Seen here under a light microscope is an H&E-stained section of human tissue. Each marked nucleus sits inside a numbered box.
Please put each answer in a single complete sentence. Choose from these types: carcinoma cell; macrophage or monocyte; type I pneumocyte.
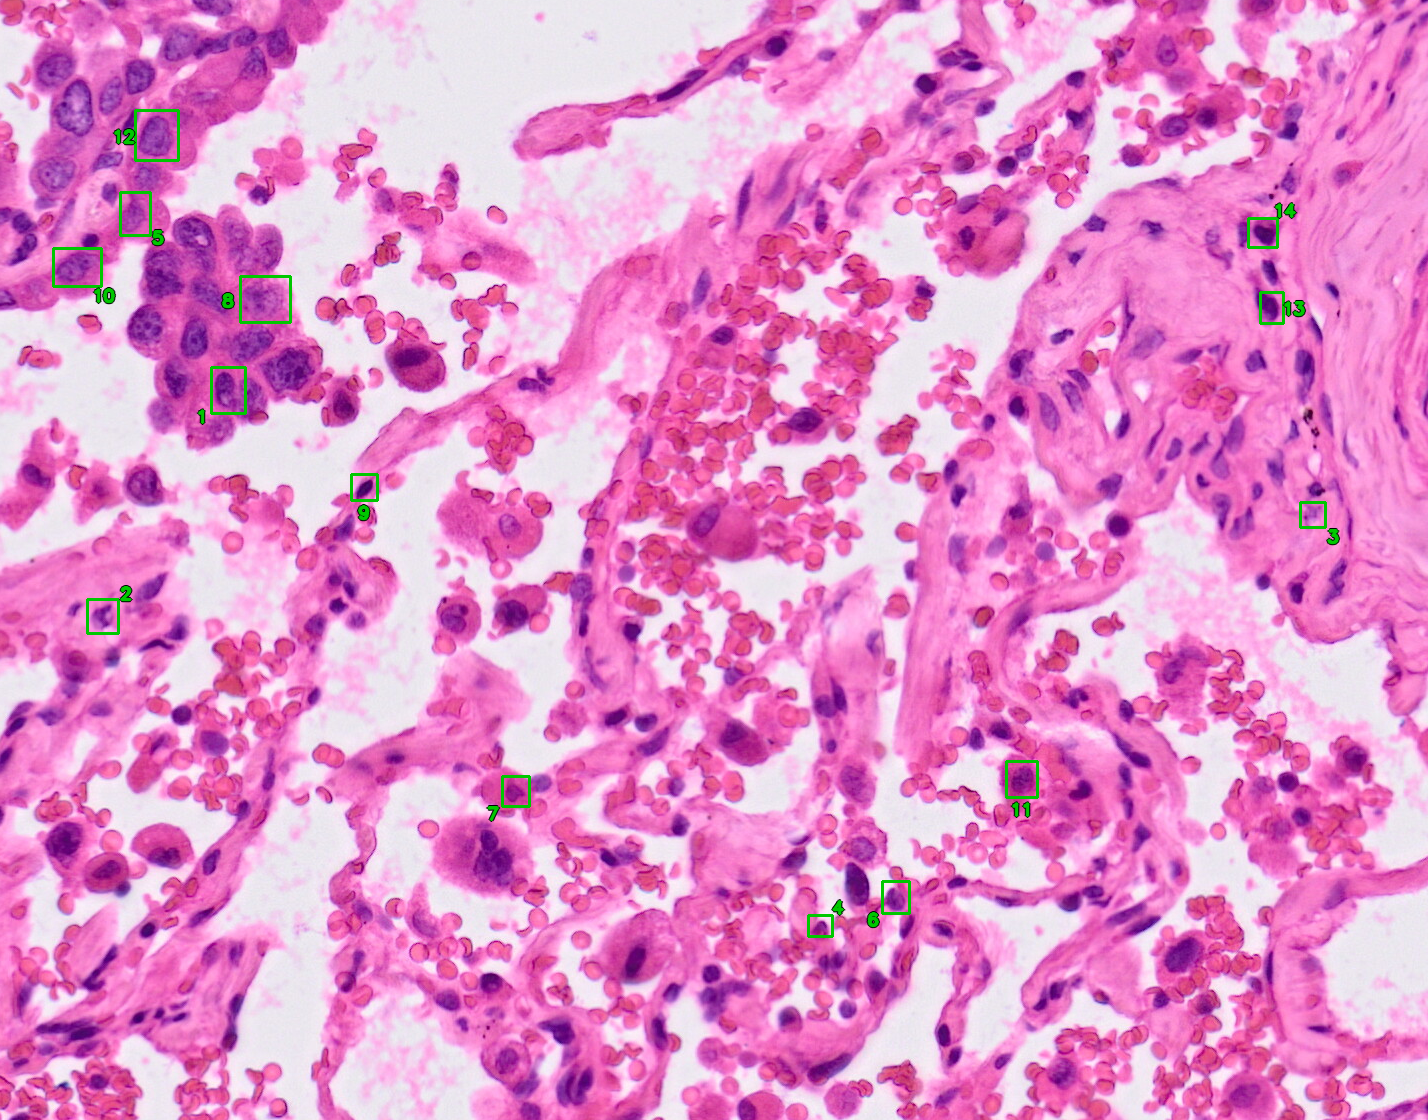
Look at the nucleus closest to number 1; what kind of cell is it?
The nearest nucleus to number 1 belongs to a carcinoma cell.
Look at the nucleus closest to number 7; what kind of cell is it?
Number 7 lies closest to the nucleus of a type I pneumocyte.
